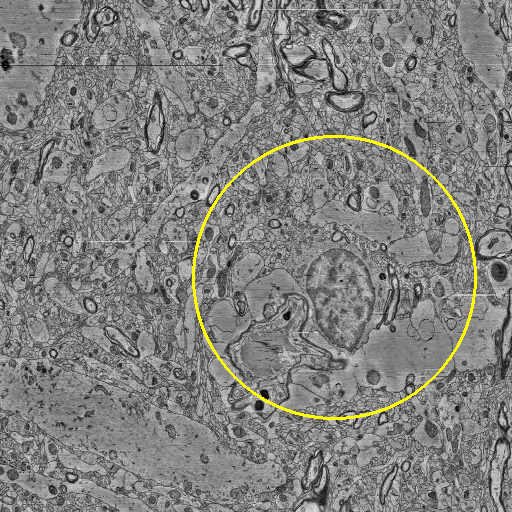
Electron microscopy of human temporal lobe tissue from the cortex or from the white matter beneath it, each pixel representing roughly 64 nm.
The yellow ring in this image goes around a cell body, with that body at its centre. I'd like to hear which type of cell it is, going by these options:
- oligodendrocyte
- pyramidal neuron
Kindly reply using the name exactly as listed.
oligodendrocyte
